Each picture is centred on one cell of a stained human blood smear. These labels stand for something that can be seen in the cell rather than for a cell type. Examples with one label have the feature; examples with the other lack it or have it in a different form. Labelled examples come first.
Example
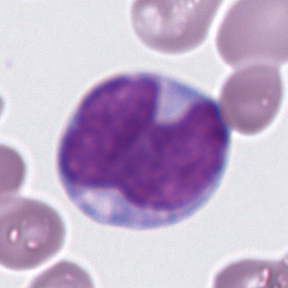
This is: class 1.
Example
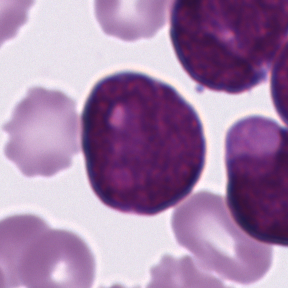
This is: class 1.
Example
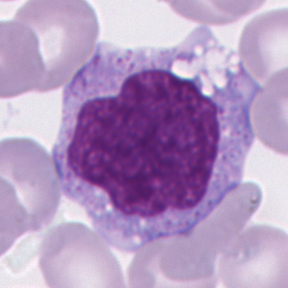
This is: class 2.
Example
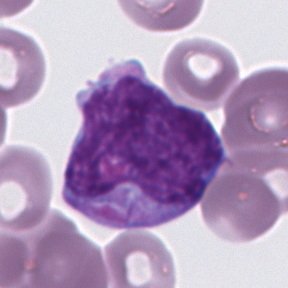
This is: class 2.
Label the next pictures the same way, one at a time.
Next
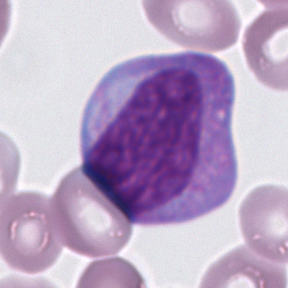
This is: class 1.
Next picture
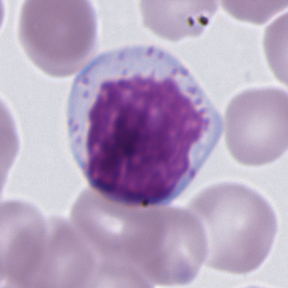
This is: class 1.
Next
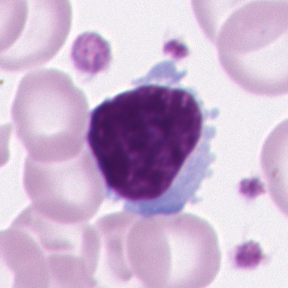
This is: class 2.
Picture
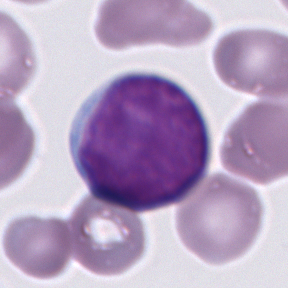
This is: class 1.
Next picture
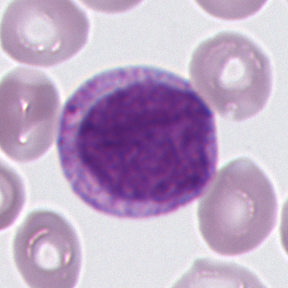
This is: class 1.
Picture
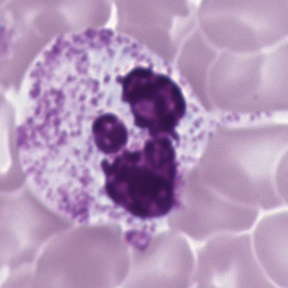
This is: class 2.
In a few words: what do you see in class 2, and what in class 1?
Seen in class 2: ragged outline or projections; seen in class 1: smooth outline.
